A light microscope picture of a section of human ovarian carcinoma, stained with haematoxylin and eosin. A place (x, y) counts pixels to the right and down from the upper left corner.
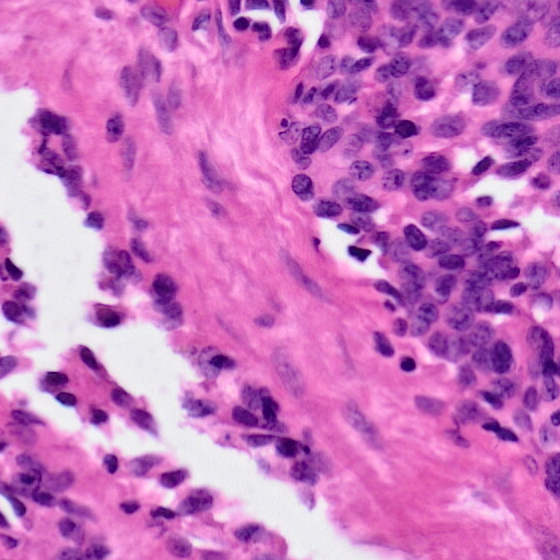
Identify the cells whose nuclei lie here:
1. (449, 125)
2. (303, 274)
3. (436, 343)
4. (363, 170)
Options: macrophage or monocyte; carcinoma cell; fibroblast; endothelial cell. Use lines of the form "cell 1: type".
cell 1: carcinoma cell
cell 2: fibroblast
cell 3: carcinoma cell
cell 4: macrophage or monocyte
